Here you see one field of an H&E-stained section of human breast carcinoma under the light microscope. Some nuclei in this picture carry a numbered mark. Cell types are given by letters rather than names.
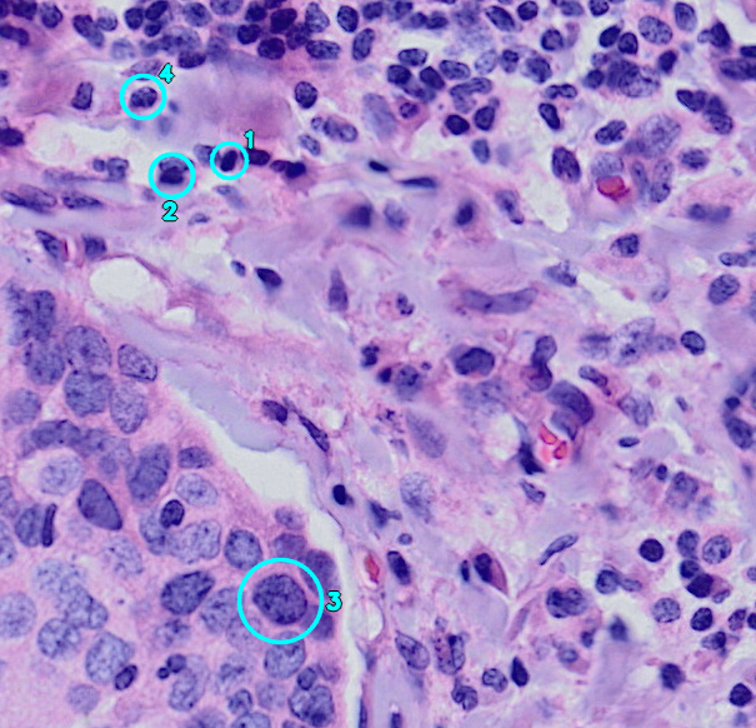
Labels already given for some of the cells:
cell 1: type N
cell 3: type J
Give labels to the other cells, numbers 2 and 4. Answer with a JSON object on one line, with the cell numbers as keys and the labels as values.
{"2": "type N", "4": "type N"}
